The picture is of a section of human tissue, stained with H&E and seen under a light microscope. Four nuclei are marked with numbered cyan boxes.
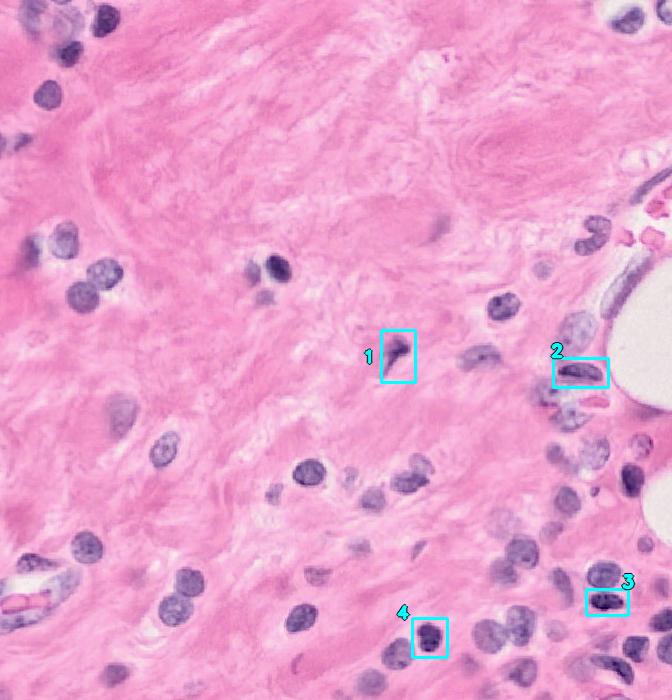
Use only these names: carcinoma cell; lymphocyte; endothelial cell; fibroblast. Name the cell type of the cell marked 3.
lymphocyte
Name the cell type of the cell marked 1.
fibroblast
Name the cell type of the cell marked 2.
endothelial cell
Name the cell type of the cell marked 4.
lymphocyte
